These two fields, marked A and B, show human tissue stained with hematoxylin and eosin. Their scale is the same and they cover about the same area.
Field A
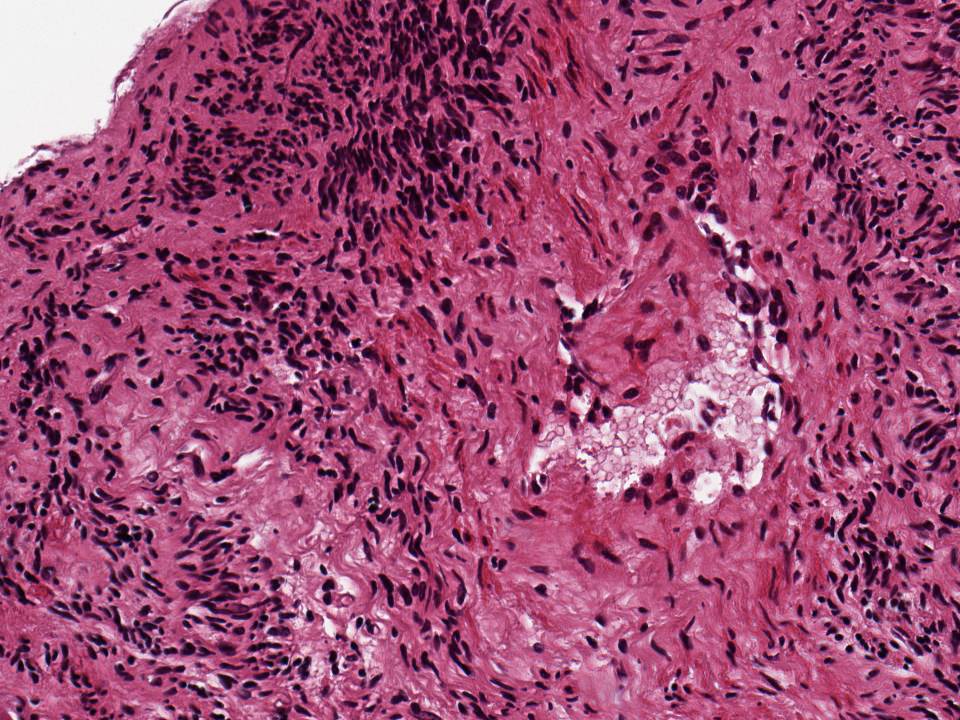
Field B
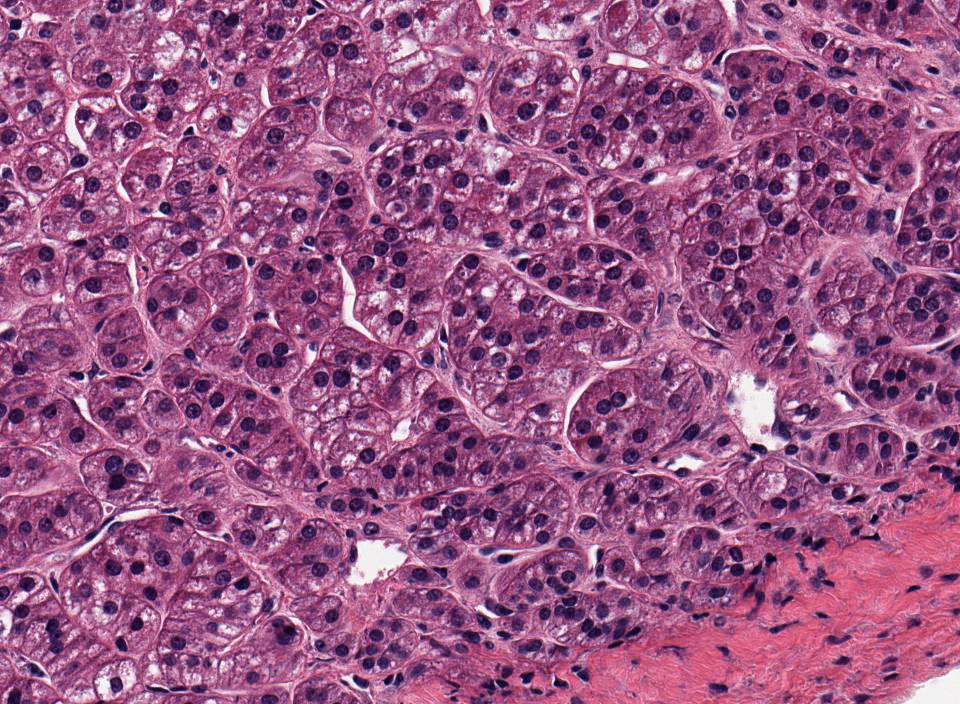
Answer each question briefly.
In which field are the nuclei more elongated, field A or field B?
A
